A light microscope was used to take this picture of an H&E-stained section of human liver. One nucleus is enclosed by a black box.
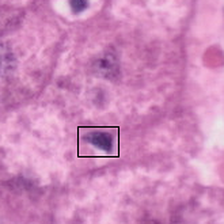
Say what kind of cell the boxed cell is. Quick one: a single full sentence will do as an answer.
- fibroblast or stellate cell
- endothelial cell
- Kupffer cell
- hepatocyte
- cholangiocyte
By cell type, the boxed cell is an endothelial cell.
